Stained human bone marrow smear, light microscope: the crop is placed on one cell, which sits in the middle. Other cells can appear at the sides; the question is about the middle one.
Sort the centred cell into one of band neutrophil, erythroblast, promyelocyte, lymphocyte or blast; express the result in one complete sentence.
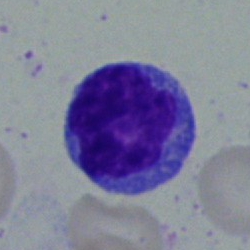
Classification of the middle cell gives a blast.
